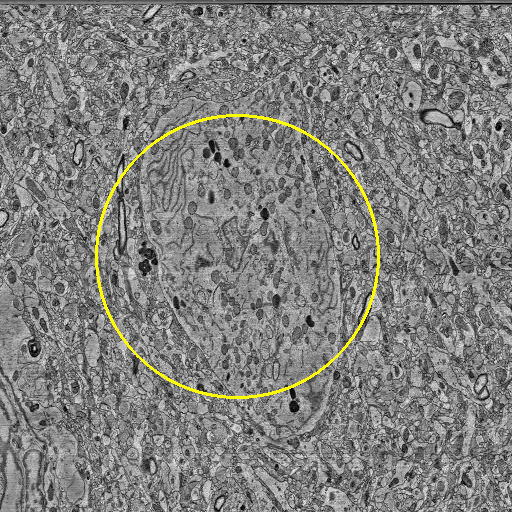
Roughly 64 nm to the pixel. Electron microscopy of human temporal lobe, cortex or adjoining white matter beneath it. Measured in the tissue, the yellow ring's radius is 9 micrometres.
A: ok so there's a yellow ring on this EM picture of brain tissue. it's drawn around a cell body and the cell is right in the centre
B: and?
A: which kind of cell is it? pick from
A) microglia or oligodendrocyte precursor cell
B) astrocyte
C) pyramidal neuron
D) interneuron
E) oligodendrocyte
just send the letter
D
